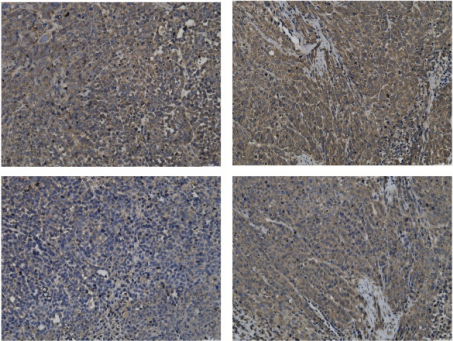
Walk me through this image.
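These are sections of tumour tissue made of densely packed tumour cells in solid sheets, with small blue nuclei and brown-stained cytoplasm. In the images on the right, paler strands of fibrous stroma run between the cell sheets and divide them into nests.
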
